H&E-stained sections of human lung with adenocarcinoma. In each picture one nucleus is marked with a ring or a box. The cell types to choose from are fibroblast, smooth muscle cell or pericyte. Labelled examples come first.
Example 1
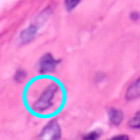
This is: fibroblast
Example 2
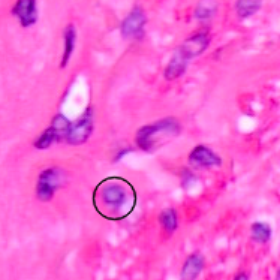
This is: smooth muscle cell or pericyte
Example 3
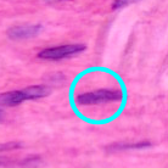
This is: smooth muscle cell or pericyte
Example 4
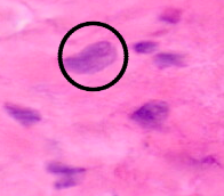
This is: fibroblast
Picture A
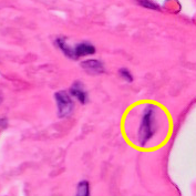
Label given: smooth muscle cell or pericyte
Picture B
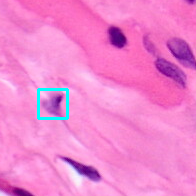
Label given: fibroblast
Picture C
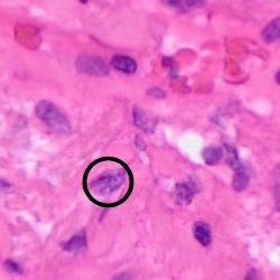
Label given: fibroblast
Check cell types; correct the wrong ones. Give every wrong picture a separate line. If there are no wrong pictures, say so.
Wrong: A (smooth muscle cell or pericyte); correct: fibroblast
